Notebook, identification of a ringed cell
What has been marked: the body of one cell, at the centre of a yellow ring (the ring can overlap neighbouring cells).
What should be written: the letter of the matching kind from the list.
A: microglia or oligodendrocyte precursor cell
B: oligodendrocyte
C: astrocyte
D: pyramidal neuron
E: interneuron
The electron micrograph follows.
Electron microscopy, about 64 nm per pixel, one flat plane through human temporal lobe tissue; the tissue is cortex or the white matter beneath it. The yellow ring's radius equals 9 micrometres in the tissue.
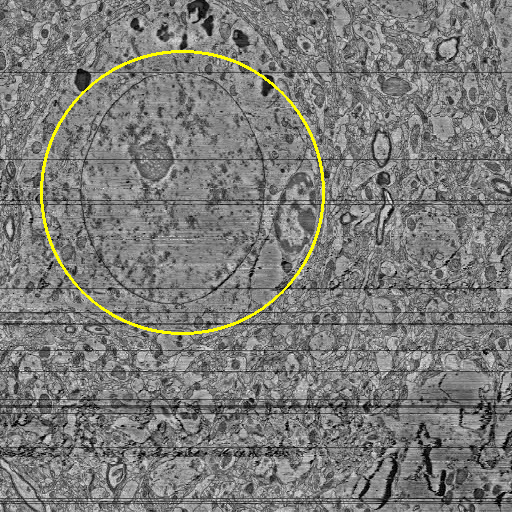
D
